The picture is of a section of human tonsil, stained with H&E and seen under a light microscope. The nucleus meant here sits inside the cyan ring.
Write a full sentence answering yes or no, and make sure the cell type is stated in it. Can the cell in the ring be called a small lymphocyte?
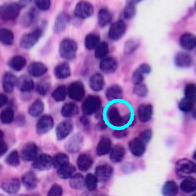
Yes, calling the cell in the ring a small lymphocyte is correct.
